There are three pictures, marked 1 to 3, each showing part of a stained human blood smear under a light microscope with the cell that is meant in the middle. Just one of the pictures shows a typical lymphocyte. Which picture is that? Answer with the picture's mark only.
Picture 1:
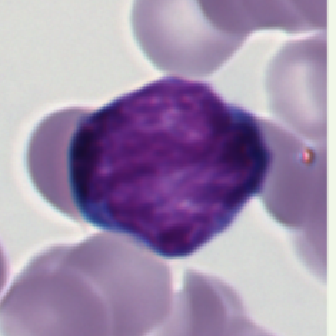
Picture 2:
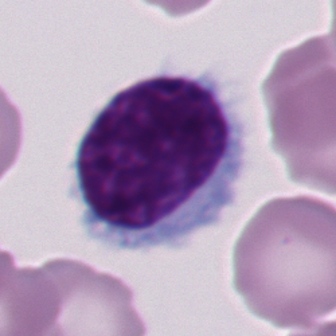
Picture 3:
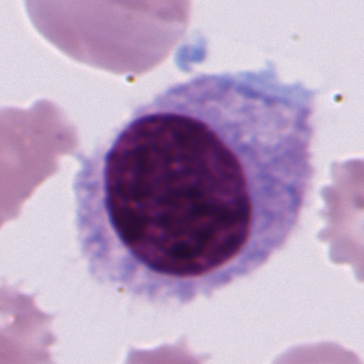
1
